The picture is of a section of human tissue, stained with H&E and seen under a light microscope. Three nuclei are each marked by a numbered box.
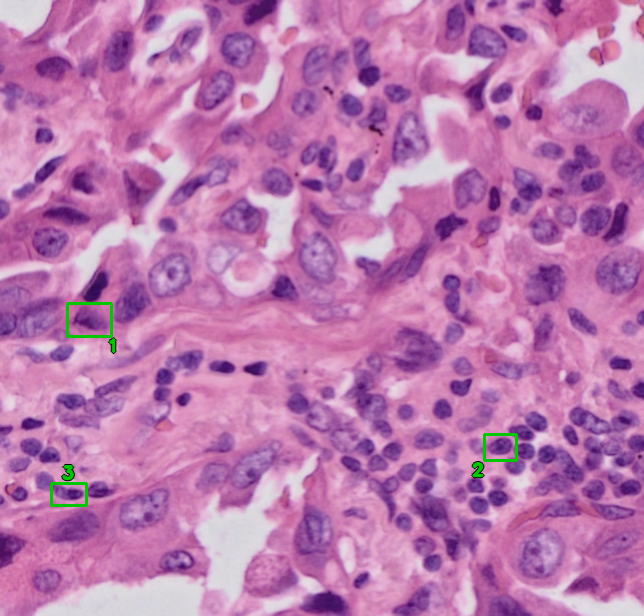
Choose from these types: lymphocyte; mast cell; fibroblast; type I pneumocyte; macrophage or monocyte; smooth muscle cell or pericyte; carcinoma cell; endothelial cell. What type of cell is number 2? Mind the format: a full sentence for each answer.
The cell carrying label 2 is identified as a lymphocyte.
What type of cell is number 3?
The correct answer for cell 3 is a lymphocyte.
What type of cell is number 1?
Among the marked nuclei, number 1 belongs to a carcinoma cell.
